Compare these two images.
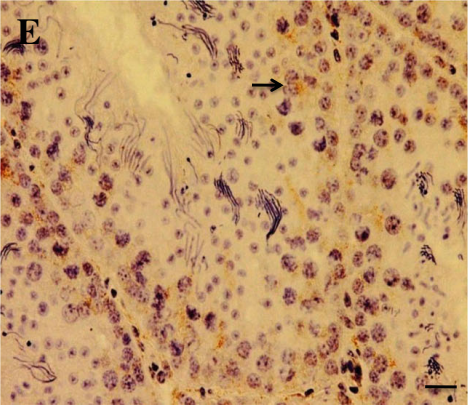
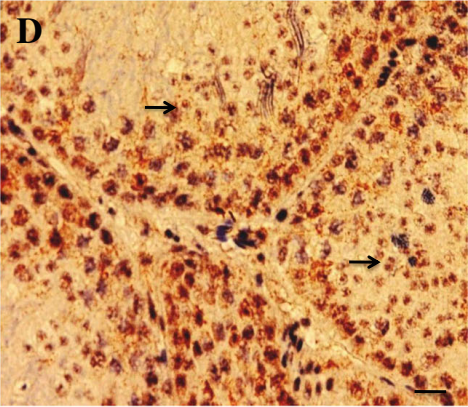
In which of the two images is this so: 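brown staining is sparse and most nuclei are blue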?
the first image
